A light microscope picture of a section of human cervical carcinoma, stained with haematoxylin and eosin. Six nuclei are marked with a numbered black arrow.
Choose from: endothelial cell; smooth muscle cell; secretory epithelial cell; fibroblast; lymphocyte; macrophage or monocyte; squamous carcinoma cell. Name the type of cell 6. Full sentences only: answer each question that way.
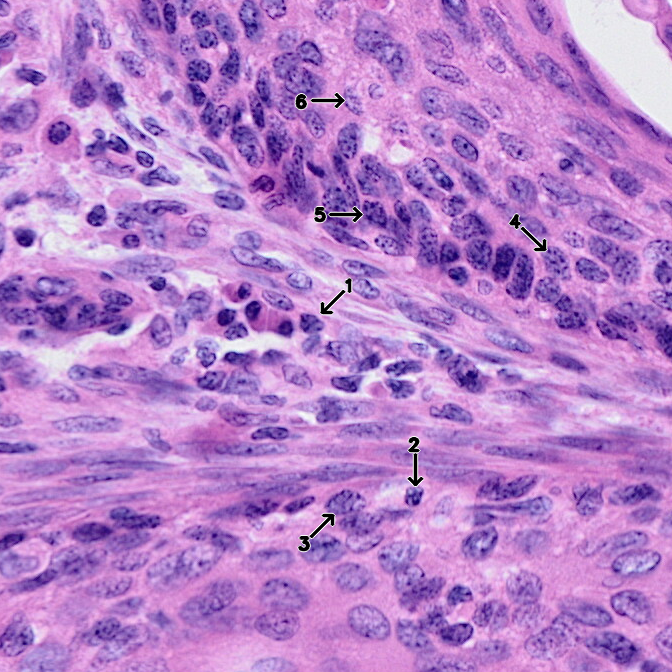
In the marked set, the cell given number 6 is a squamous carcinoma cell.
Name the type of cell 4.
Number 4 among the marked cells is a squamous carcinoma cell.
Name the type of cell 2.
At number 2, the marked cell is a lymphocyte.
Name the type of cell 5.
Corresponding to a squamous carcinoma cell is the cell labelled 5.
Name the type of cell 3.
What the number 3 marks in this field is a squamous carcinoma cell.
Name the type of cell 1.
Number 1 is placed on a lymphocyte here.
